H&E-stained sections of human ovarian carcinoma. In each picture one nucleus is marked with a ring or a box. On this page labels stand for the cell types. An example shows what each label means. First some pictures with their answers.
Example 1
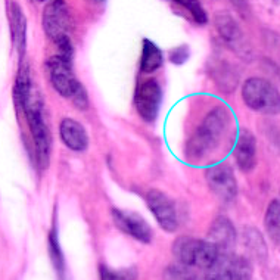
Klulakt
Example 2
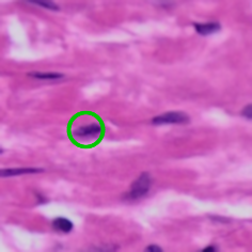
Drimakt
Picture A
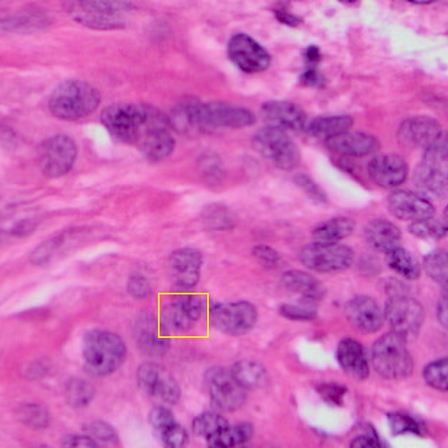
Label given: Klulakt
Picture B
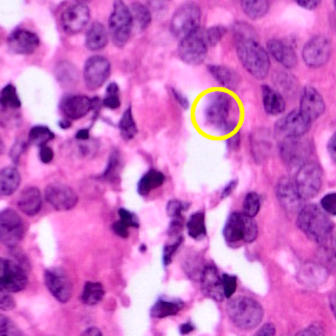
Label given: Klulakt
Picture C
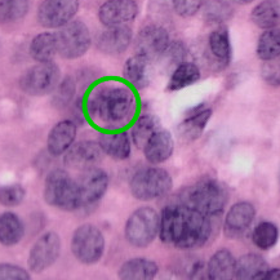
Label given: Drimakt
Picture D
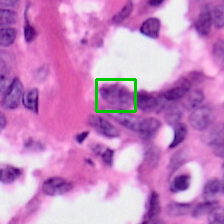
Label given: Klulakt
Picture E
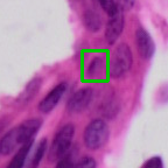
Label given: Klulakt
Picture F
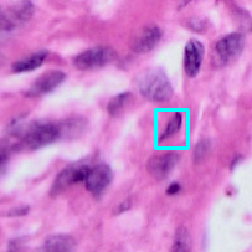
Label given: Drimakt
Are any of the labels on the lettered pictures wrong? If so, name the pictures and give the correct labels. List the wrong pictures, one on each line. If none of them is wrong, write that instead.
C: not Drimakt but Klulakt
